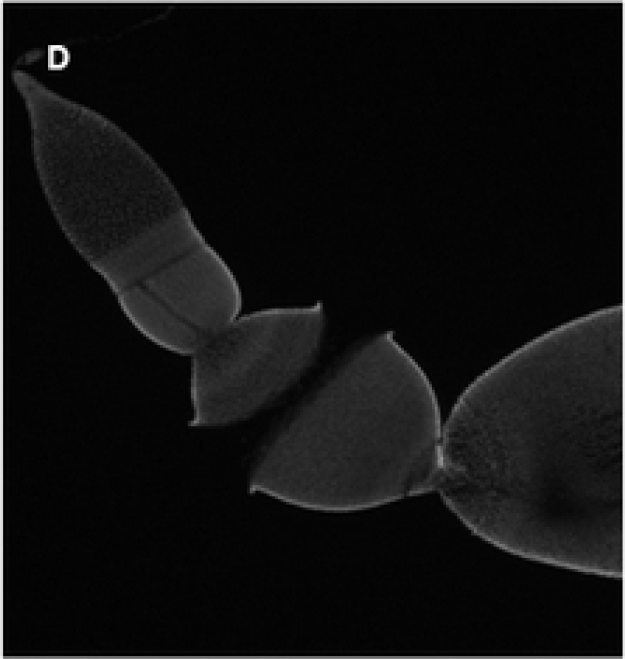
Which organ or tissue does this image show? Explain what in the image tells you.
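A tapered apical chamber is followed by a series of larger chambers. The chambers grow larger toward the right of the panel. The answer: ovarioles.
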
